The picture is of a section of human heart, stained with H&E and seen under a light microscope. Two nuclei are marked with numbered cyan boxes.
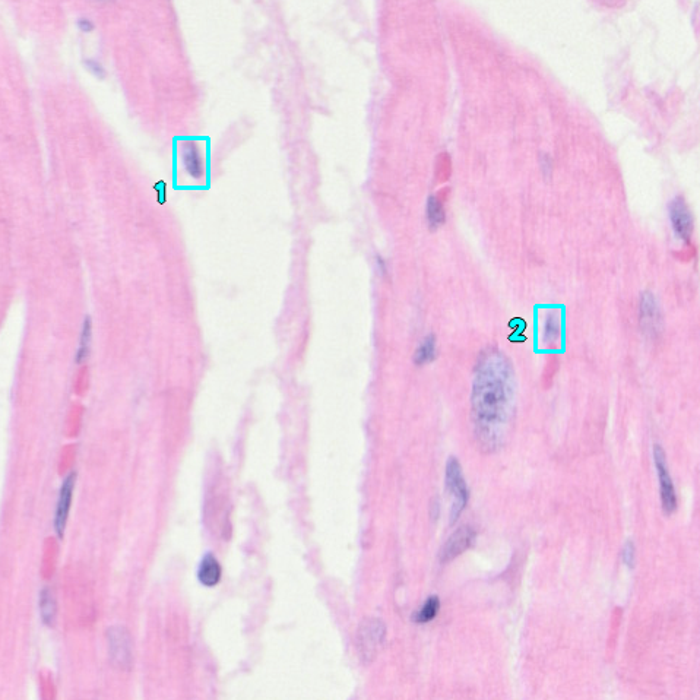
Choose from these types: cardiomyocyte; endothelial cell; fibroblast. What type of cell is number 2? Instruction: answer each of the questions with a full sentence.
The cell that is numbered 2 is an endothelial cell.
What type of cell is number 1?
The cell whose nucleus carries the number 1 is a fibroblast.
